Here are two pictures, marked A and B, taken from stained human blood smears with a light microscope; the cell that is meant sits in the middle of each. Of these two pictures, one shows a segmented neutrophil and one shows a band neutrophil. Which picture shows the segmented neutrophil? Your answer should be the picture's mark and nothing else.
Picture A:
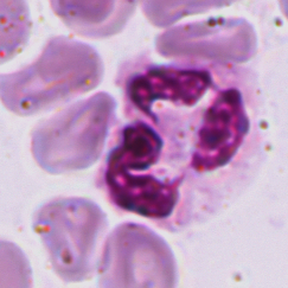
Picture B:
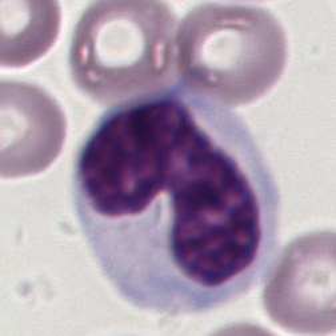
A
